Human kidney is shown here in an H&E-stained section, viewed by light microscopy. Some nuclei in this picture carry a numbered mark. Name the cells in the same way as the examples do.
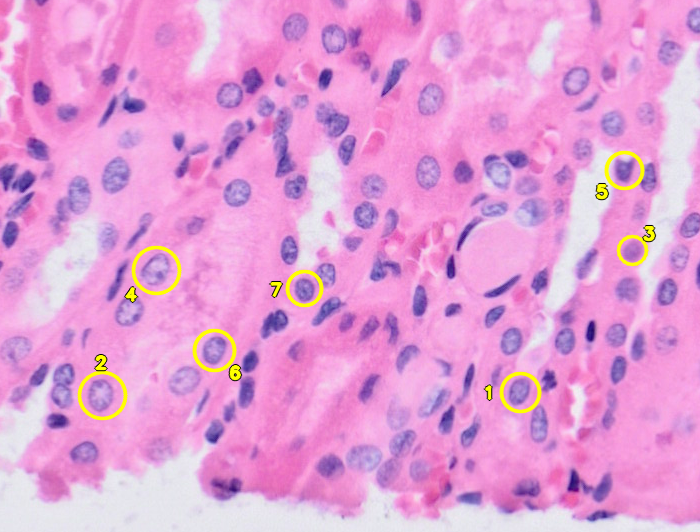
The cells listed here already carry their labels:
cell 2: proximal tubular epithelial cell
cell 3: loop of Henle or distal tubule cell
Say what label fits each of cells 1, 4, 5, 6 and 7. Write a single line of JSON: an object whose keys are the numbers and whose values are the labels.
{"1": "loop of Henle or distal tubule cell", "4": "proximal tubular epithelial cell", "5": "loop of Henle or distal tubule cell", "6": "proximal tubular epithelial cell", "7": "loop of Henle or distal tubule cell"}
